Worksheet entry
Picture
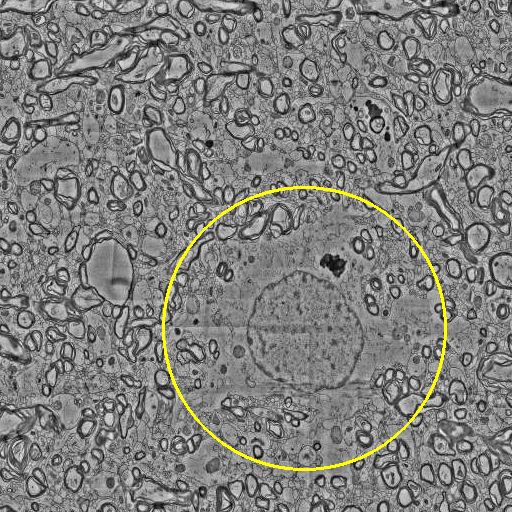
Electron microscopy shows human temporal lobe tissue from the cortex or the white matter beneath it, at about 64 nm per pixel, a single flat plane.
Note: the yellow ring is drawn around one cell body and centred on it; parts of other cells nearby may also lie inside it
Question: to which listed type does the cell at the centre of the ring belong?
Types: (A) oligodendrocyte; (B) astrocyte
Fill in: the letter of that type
B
